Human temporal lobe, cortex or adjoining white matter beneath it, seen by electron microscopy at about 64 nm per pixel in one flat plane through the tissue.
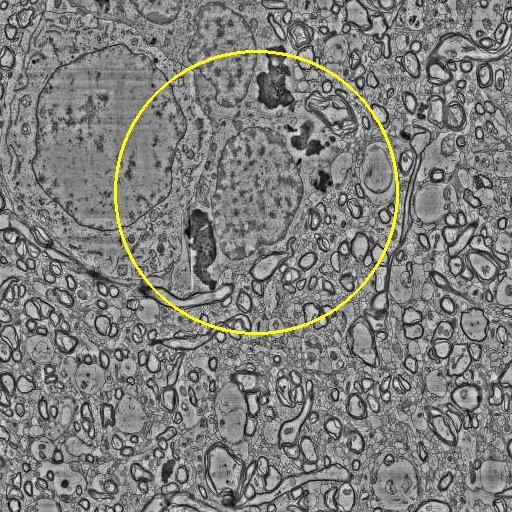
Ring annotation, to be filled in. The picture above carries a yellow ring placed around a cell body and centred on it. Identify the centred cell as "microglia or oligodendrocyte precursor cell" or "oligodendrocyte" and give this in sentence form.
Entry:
The cell in the middle of the ring is an oligodendrocyte.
